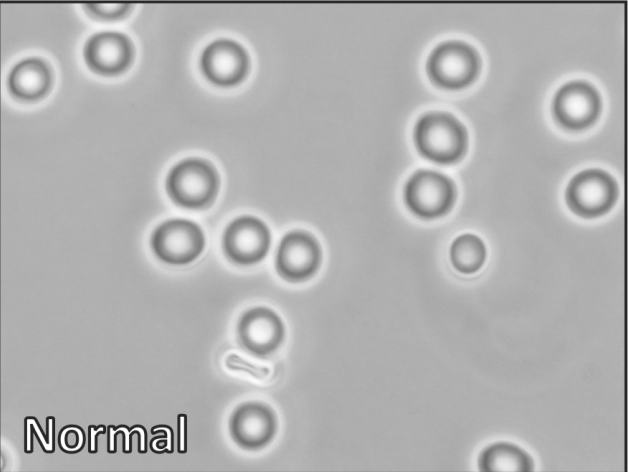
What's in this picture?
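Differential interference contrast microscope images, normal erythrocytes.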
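Scattered small round cells without nuclei lie singly or touching in short groups against a smooth grey background. Nearly all are circular and of much the same size, each with a bright outer rim and a paler centre, the look of biconcave discs seen face-on. One cell is somewhat smaller than the rest, and a single narrow, bent profile lies between two discs, likely a cell seen edge-on or folded.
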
